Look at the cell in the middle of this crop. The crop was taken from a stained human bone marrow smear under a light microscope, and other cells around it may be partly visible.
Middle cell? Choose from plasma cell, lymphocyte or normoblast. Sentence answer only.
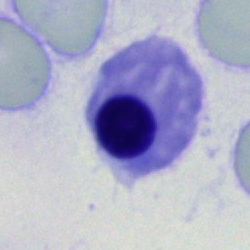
The cell of interest, in the center, is a normoblast.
